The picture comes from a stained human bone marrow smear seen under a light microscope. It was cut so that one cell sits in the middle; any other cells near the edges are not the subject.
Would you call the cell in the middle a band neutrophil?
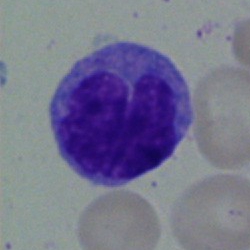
no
